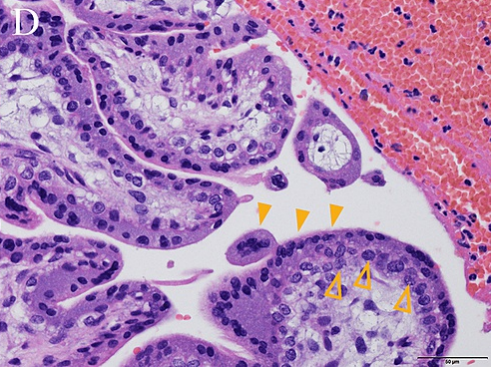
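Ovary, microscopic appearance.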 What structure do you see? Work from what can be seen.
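Rounded and finger-like projections with a loose pale core covered by a double layer of cells. They float in a space next to a mass of red blood cells.
Conclusion: chorionic villi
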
